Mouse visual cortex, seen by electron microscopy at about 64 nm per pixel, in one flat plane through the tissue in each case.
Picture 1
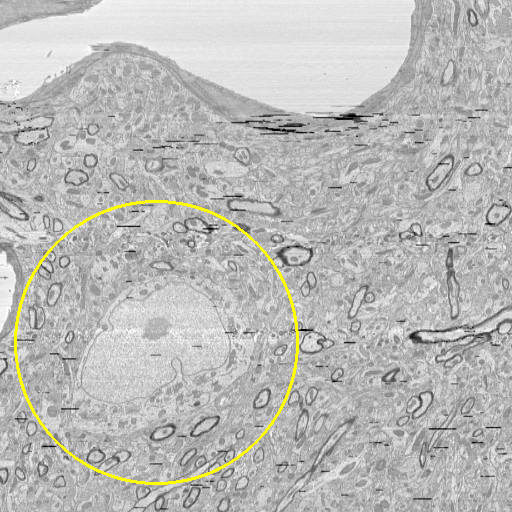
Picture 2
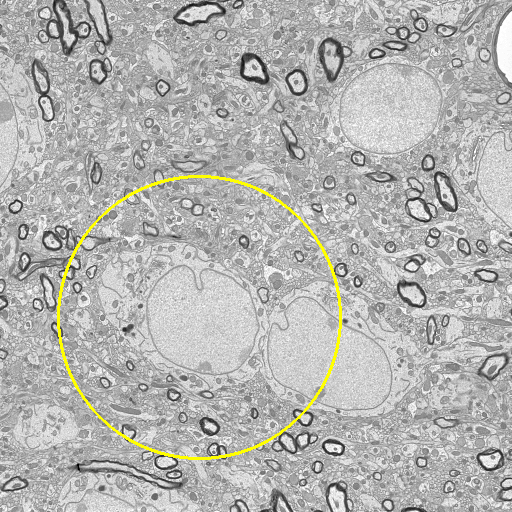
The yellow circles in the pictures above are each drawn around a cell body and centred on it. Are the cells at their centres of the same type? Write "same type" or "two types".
same type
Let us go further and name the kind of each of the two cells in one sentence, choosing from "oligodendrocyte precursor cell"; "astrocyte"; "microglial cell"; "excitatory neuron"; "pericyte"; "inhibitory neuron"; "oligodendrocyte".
In the first picture and in the second, the ring is centred on an excitatory neuron.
